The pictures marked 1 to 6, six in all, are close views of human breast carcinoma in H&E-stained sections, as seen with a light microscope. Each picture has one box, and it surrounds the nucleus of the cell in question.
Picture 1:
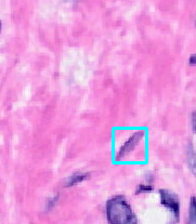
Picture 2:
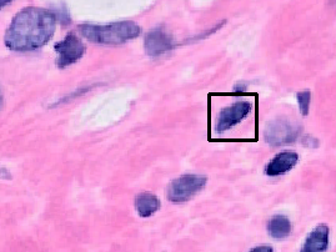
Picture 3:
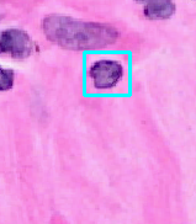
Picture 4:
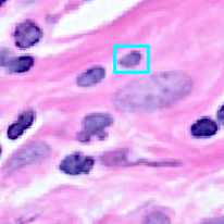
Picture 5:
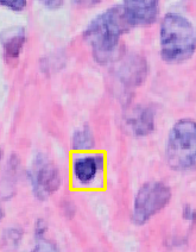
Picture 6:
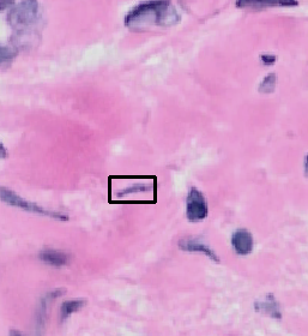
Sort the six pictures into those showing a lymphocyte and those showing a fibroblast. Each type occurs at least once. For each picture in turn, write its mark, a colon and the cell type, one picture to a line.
1: fibroblast
2: lymphocyte
3: lymphocyte
4: lymphocyte
5: lymphocyte
6: fibroblast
